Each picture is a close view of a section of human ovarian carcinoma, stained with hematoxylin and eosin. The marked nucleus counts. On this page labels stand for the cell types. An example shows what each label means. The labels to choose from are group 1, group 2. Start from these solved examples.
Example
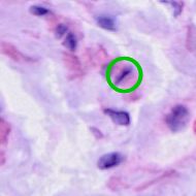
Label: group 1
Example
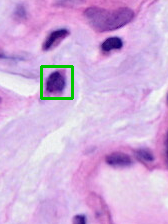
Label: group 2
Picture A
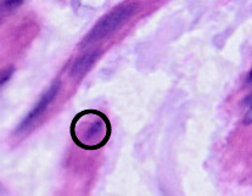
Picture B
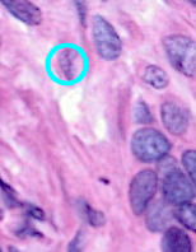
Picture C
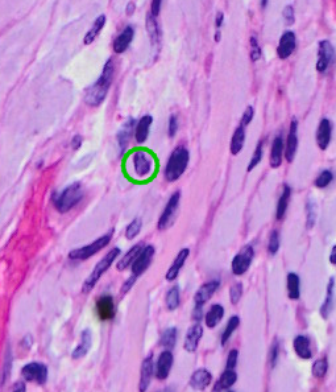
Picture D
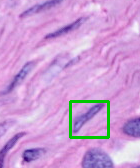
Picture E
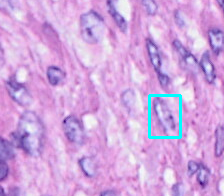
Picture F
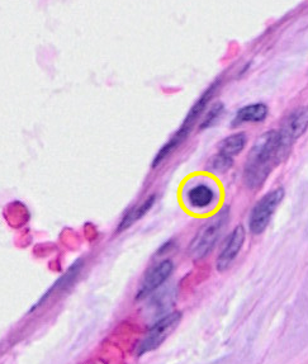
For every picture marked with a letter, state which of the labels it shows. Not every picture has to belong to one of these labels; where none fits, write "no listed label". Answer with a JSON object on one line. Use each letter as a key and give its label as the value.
{"A": "group 1", "B": "no listed label", "C": "group 2", "D": "no listed label", "E": "no listed label", "F": "group 2"}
